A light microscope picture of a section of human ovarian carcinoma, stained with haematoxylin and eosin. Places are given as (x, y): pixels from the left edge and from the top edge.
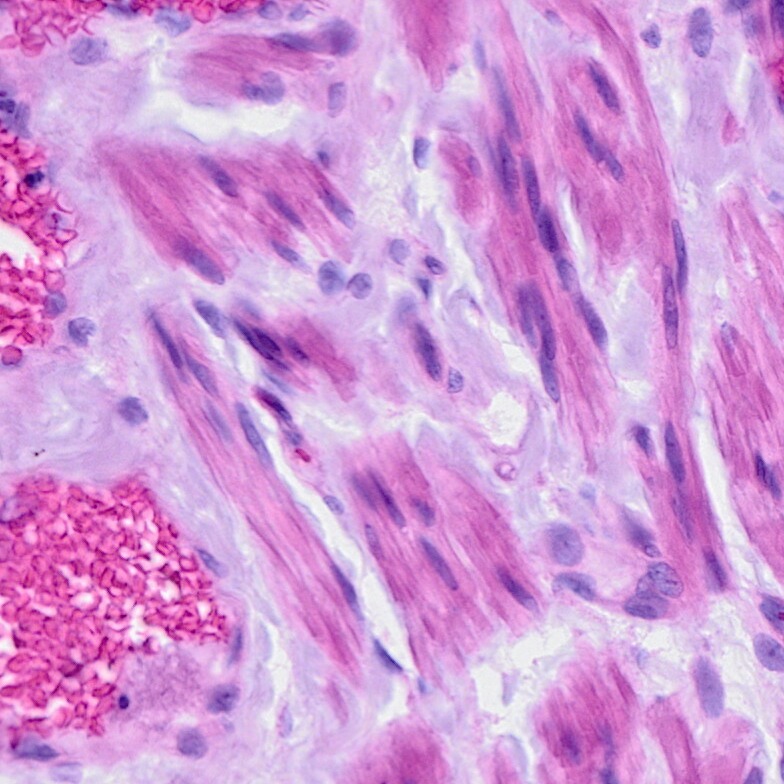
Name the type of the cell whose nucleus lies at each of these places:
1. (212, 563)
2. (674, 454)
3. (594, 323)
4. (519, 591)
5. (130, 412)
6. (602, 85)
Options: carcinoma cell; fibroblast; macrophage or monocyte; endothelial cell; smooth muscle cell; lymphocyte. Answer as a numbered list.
1. endothelial cell
2. smooth muscle cell
3. smooth muscle cell
4. smooth muscle cell
5. fibroblast
6. smooth muscle cell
